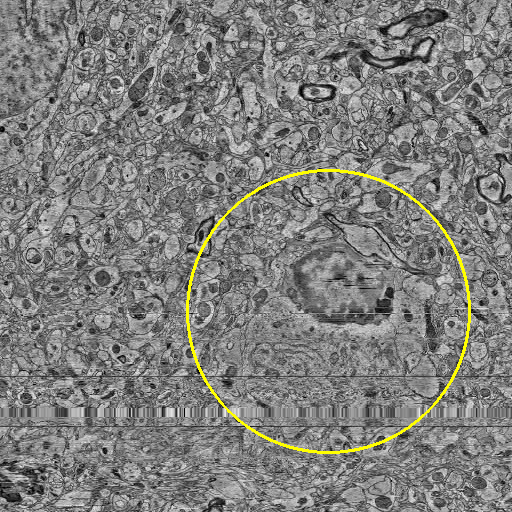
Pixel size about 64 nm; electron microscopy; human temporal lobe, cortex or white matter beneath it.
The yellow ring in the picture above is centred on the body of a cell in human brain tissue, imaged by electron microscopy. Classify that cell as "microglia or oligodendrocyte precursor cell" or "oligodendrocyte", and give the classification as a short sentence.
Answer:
The cell in the middle of the ring is an oligodendrocyte.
